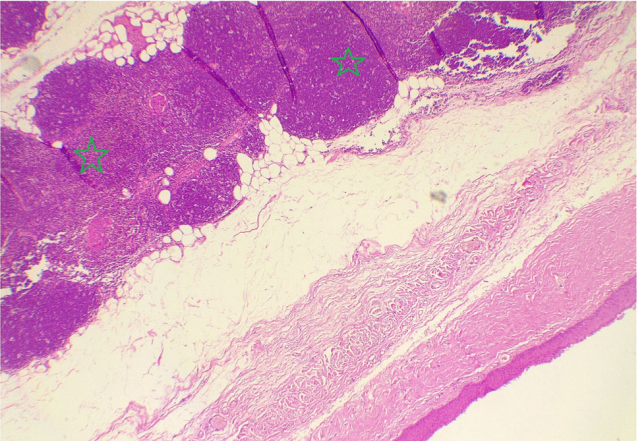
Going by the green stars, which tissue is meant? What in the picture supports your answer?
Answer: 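Thymic tissue. Dense purple lobules packed with small round lymphoid cells. Small pink rounded bodies lie within the lobules. Lobules are separated by fat cells.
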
